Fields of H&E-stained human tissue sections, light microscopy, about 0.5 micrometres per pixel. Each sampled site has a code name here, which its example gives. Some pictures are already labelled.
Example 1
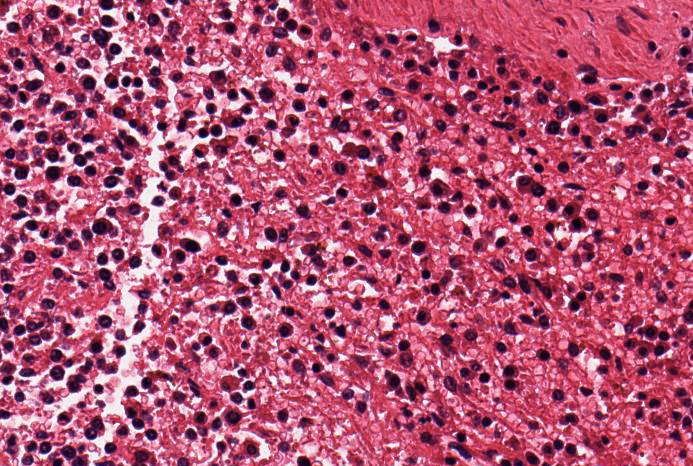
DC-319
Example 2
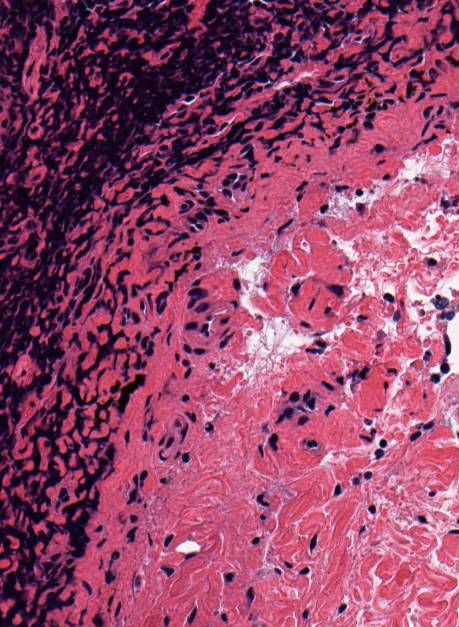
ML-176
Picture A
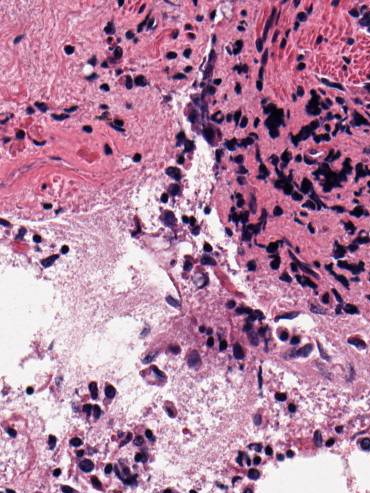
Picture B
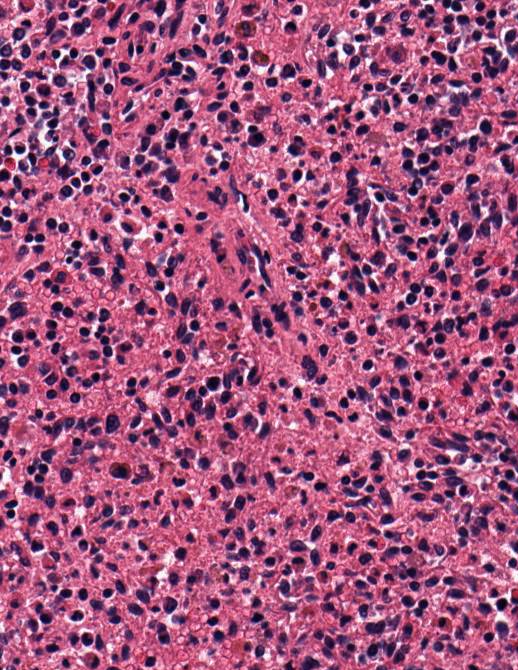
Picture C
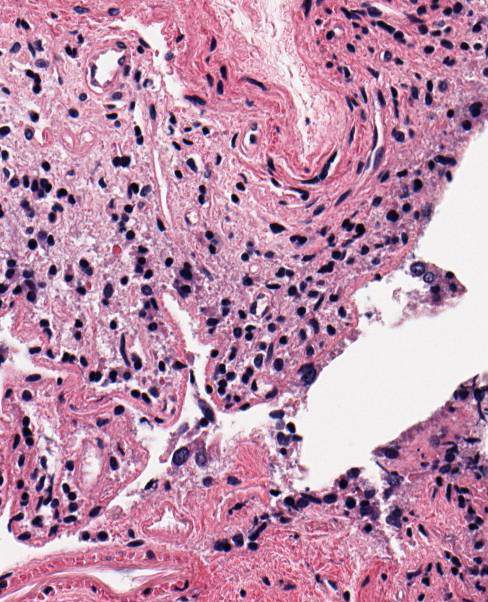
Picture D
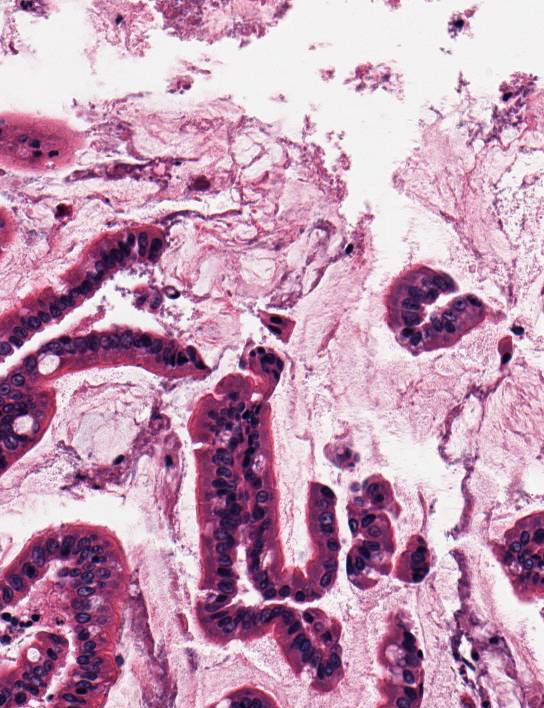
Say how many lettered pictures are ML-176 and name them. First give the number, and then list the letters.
3: A, C, D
